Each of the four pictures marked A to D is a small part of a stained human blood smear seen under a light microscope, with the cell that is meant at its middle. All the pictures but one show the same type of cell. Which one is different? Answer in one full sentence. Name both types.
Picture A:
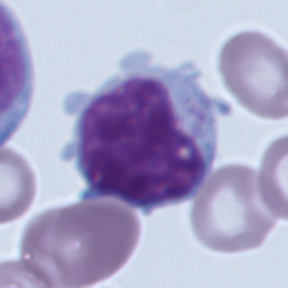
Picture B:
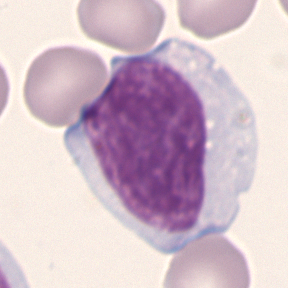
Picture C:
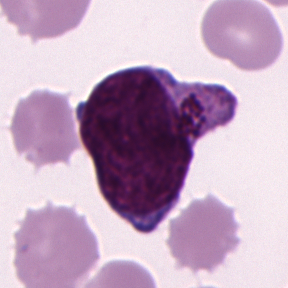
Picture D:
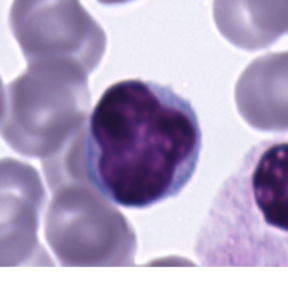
All pictures except D show myeloblasts; picture D shows a typical lymphocyte.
